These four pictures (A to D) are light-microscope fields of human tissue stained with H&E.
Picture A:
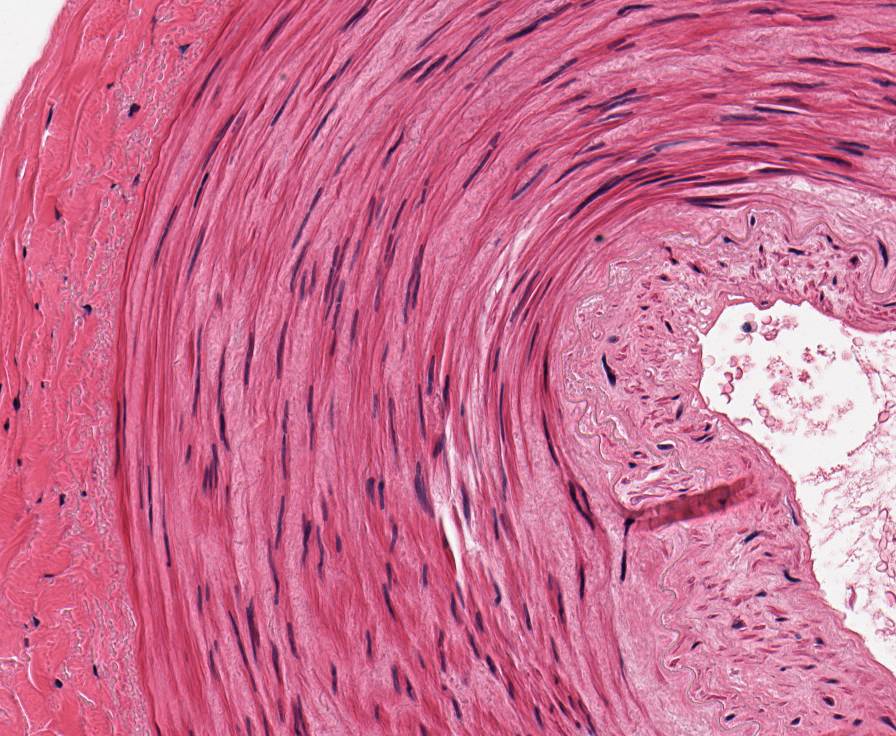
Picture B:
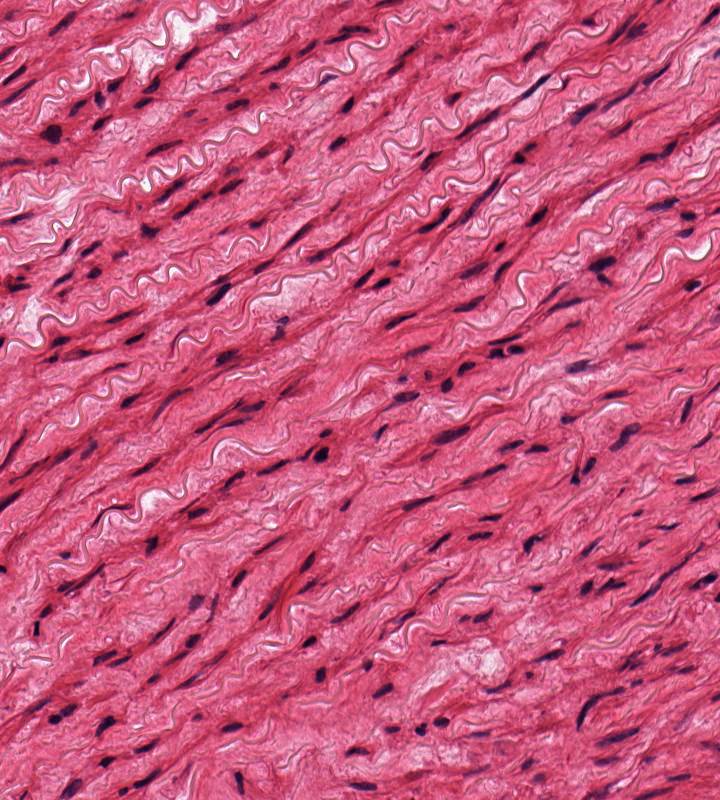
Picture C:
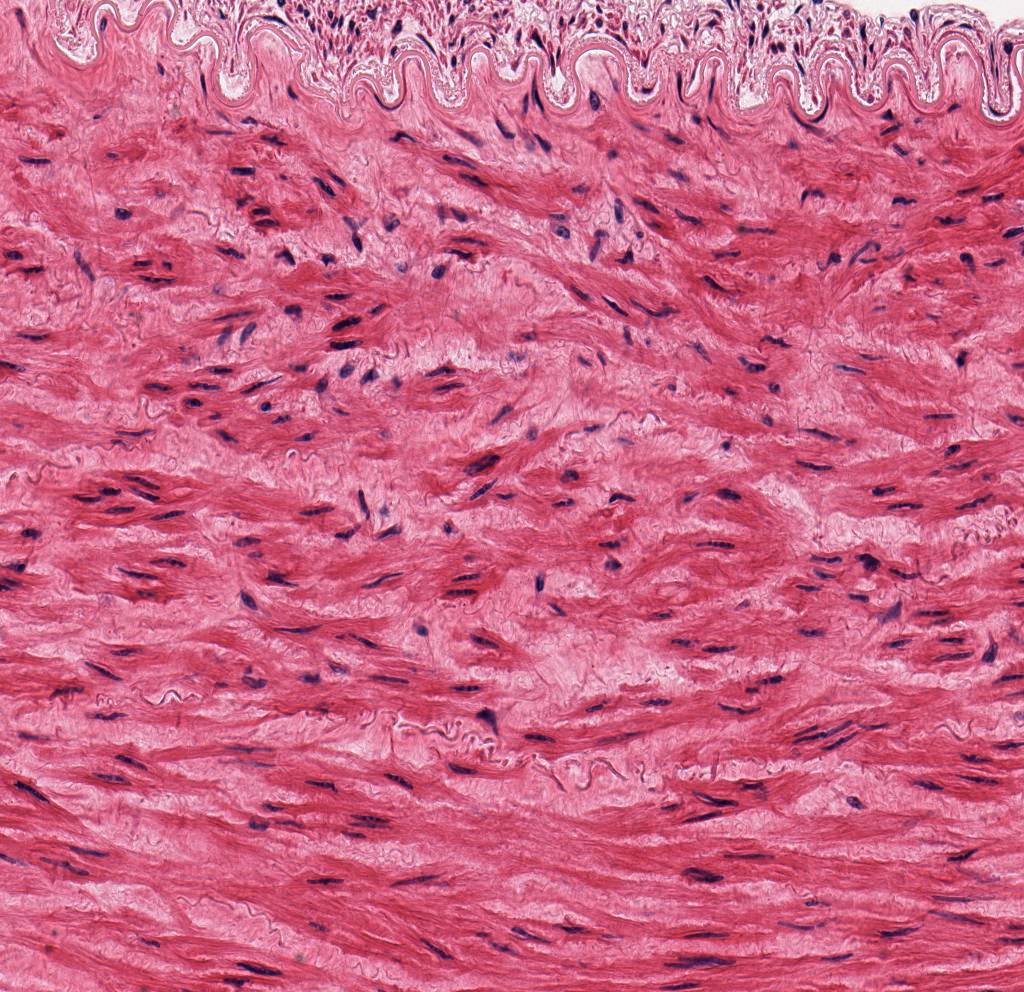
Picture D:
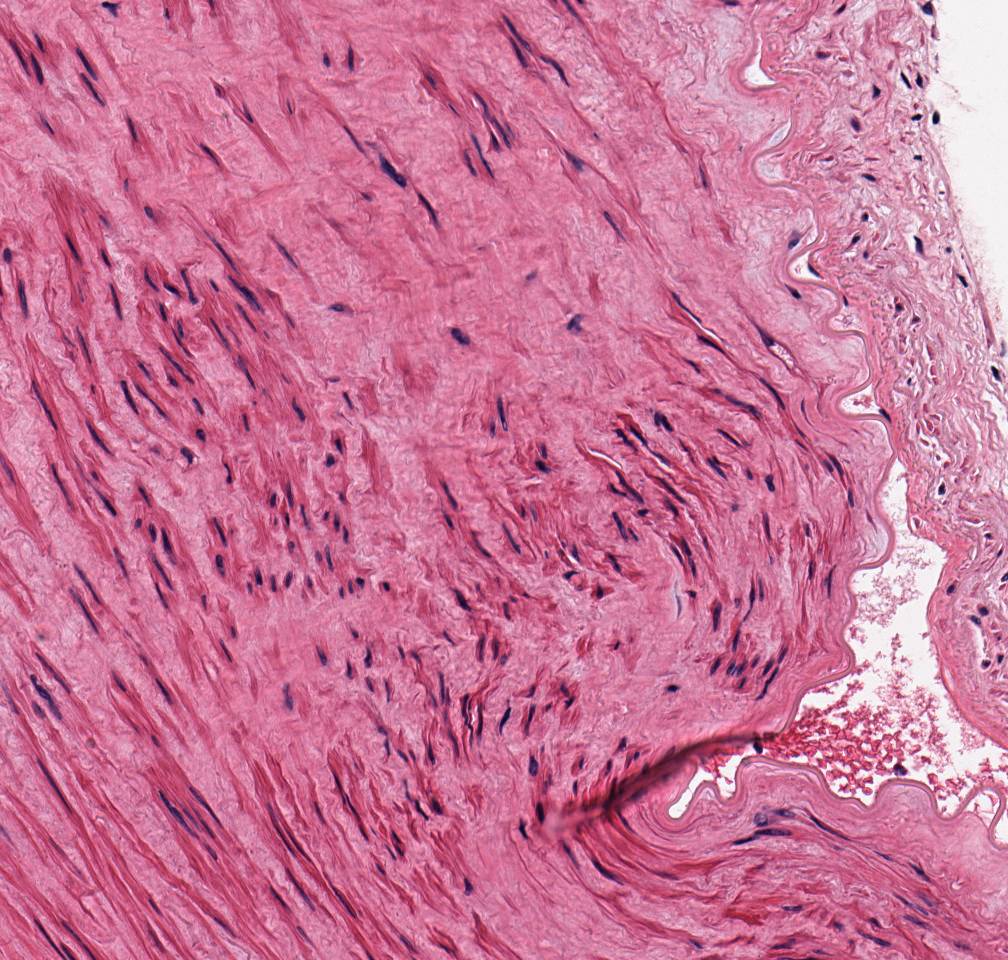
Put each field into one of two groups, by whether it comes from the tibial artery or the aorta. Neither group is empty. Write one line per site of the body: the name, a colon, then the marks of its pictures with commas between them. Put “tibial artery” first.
tibial artery: A, C, D
aorta: B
